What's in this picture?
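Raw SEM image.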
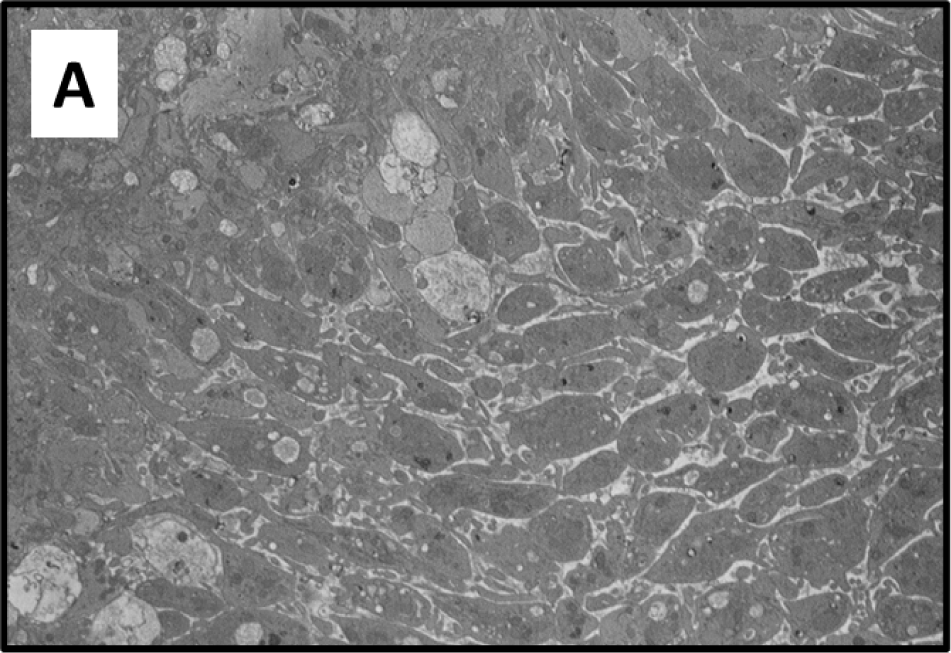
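This is a field of tightly gathered platelets seen by electron microscopy. Each platelet appears as a small grey profile, oval or drawn out into a spindle or irregular shape, and none contains a nucleus. Inside many you can pick out tiny dark dots and paler round inclusions. Toward the left the platelets are pressed so closely together that their borders are hard to follow, and the field looks almost solid. Toward the right they are looser and lie more in parallel, each outlined by thin pale gaps. Here and there larger, pale, swollen-looking profiles stand out from the rest.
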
